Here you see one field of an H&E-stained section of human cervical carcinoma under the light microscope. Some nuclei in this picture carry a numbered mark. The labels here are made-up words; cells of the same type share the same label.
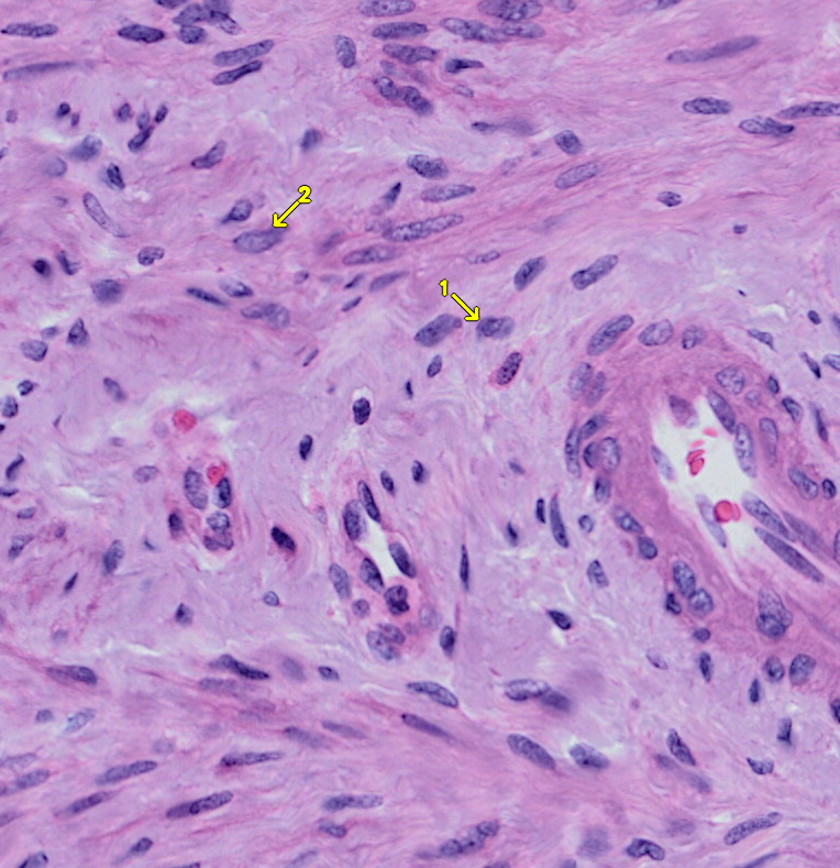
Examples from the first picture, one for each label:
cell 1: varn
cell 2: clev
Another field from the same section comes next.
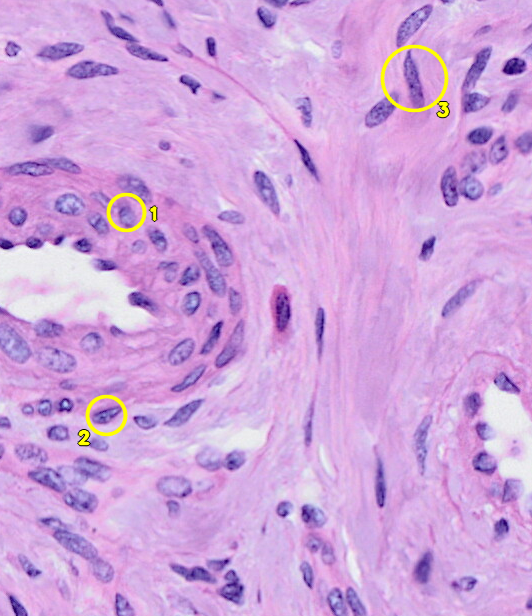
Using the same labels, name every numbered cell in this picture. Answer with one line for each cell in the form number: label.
1: clev
2: clev
3: varn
